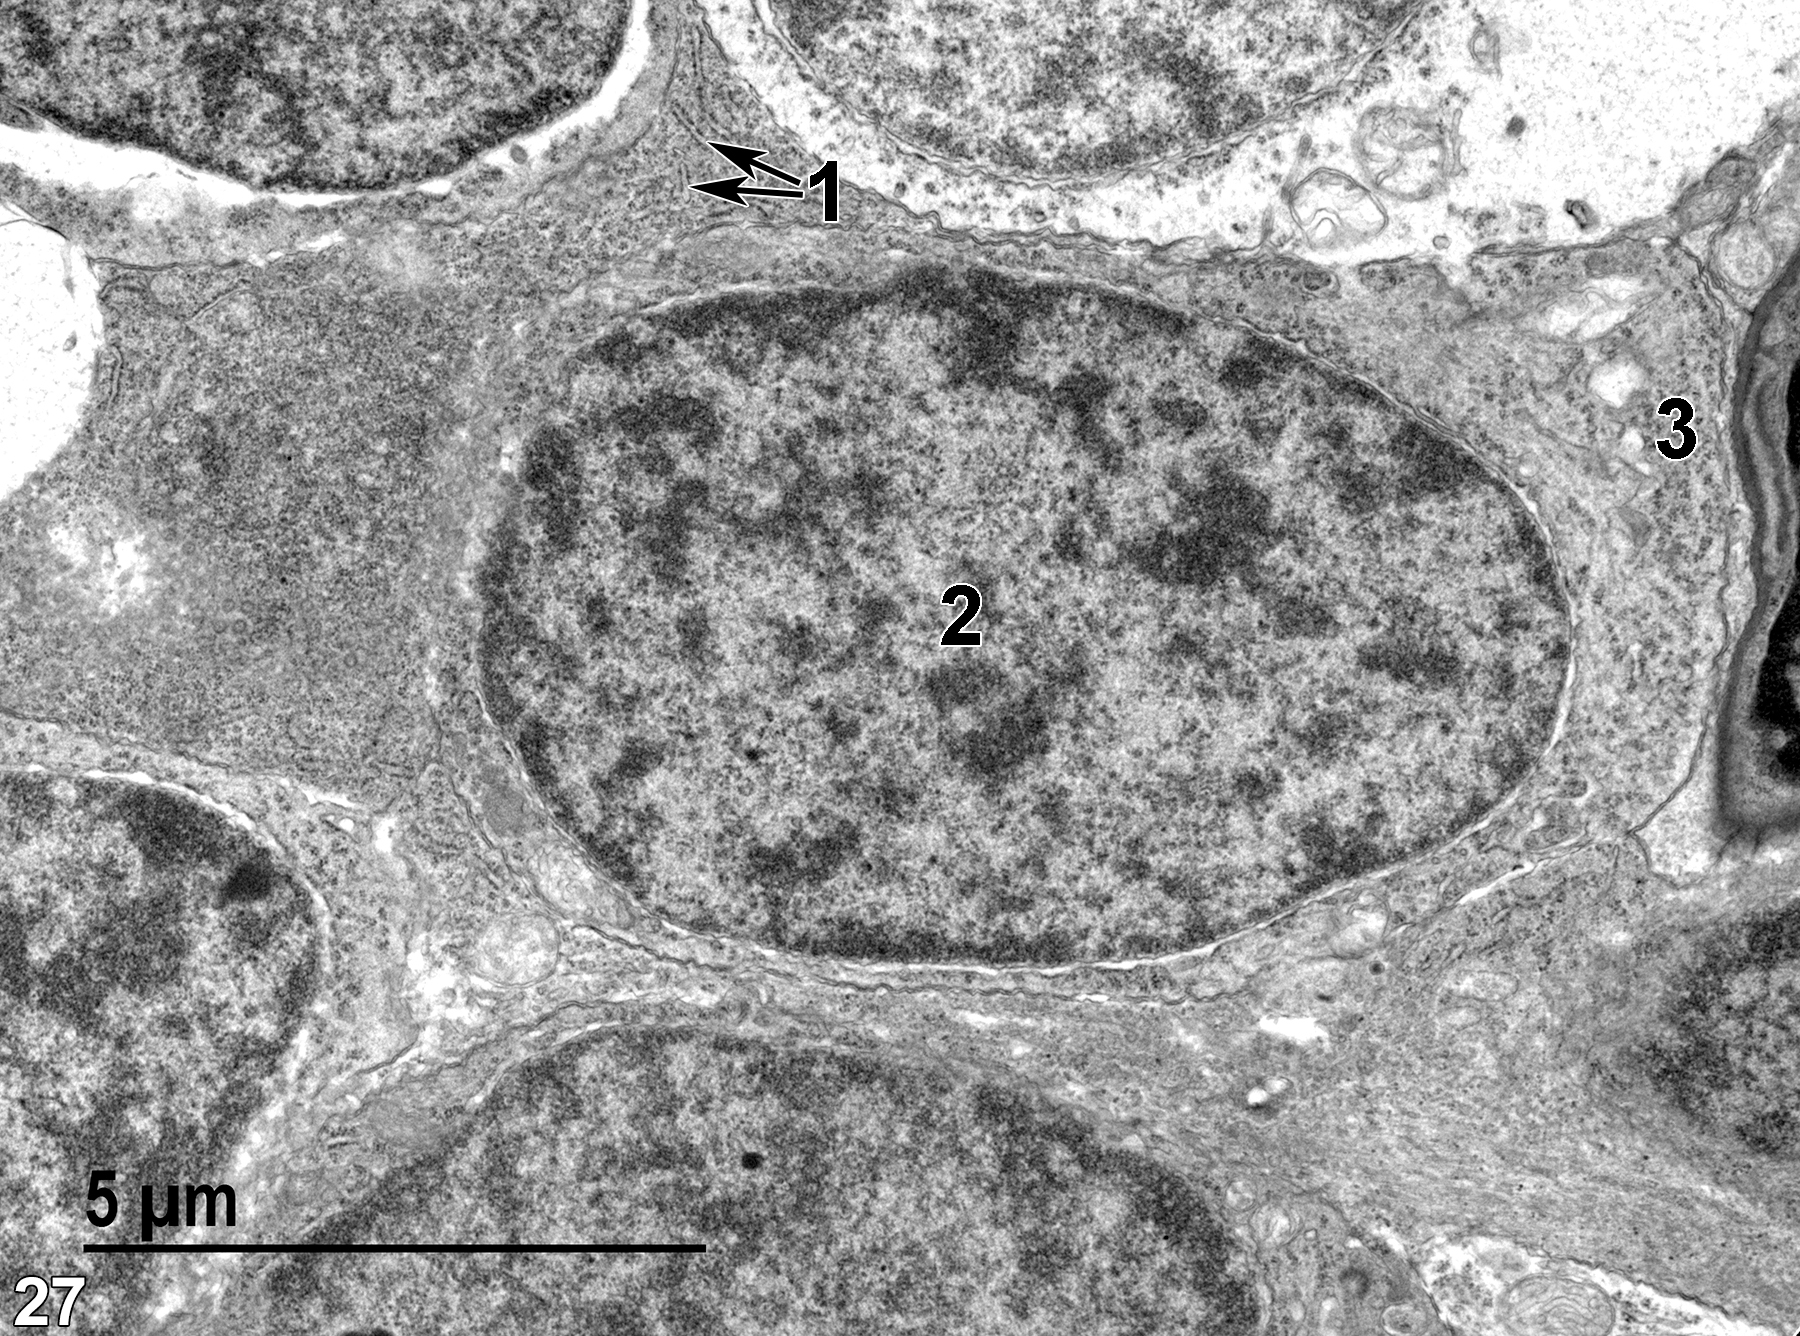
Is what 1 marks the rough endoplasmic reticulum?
Yes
